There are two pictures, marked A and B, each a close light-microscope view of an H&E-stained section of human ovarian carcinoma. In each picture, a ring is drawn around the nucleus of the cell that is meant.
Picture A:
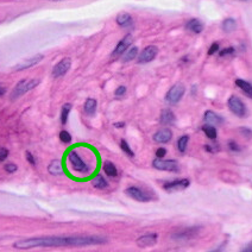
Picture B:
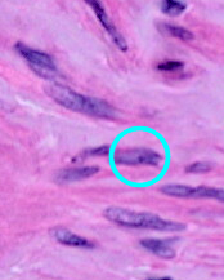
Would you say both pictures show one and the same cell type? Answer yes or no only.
yes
